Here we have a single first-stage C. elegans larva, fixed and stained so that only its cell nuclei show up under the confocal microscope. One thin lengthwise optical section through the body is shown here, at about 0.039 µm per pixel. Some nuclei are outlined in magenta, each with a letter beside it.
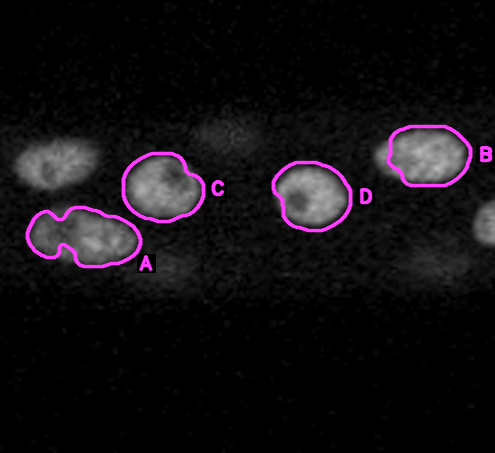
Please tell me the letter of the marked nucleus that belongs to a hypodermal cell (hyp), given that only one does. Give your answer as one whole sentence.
A is the nucleus of a hypodermal cell (hyp).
